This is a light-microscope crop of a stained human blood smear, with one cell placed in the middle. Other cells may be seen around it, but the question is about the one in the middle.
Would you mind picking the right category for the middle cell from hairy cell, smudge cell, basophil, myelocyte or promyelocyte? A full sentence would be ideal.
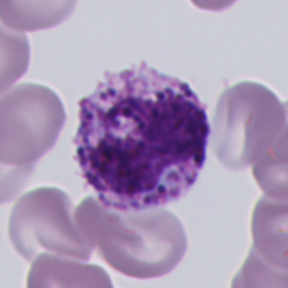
This crop has a basophil at its centre.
